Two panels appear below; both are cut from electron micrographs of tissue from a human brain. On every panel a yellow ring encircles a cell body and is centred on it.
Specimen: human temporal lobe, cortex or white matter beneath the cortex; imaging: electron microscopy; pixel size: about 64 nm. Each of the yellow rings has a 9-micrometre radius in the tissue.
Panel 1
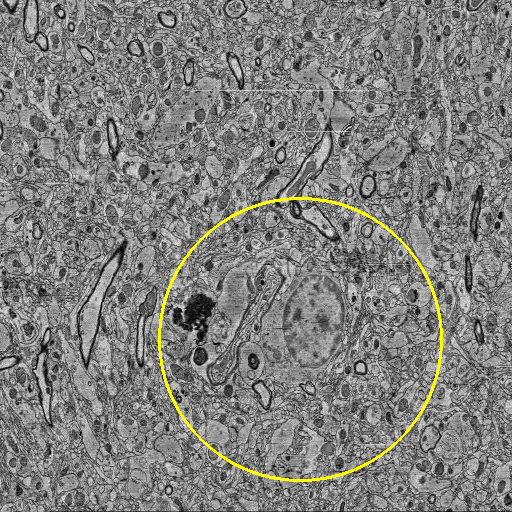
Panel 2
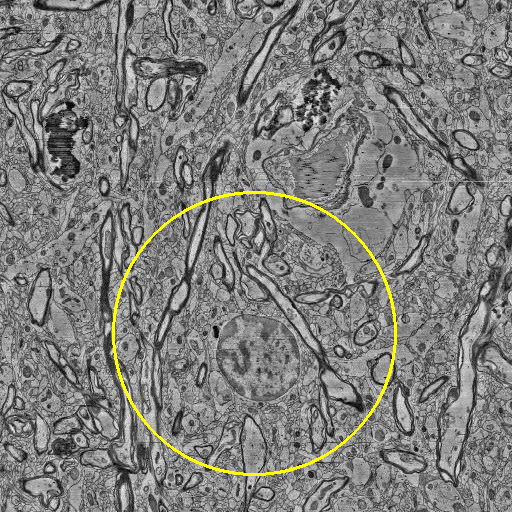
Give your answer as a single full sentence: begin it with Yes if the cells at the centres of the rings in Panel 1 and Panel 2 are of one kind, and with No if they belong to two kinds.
No, the cells in the middle of the rings in Panels 1 and 2 are of two kinds.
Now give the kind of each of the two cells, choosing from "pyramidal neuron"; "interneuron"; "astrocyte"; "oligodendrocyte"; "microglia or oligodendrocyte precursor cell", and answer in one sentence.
The cell in the first picture is an oligodendrocyte, and the cell in the second is a microglial cell or oligodendrocyte precursor cell.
